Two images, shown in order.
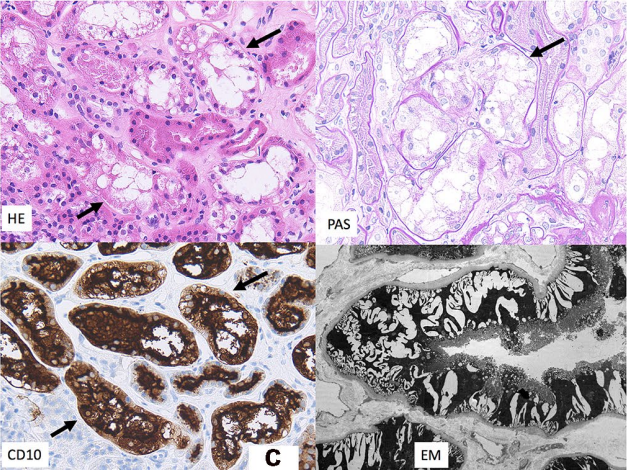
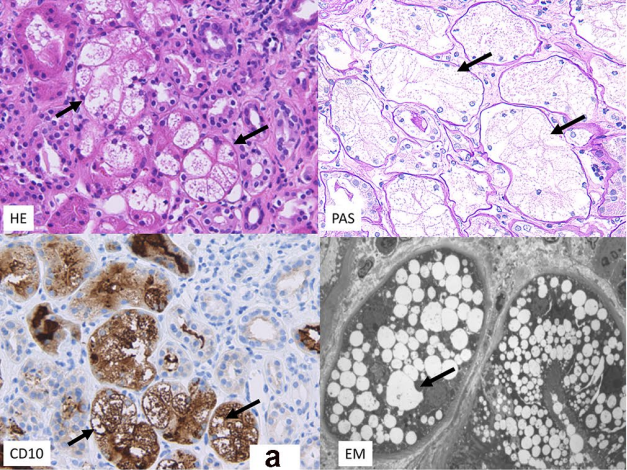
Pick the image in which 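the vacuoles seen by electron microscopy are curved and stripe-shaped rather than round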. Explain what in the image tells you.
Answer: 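First image: the electron micrograph shows elongated, curved, band-like pale spaces in the tubular cells. Second image: the electron micrograph shows many round to oval pale vacuoles. So: the first image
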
